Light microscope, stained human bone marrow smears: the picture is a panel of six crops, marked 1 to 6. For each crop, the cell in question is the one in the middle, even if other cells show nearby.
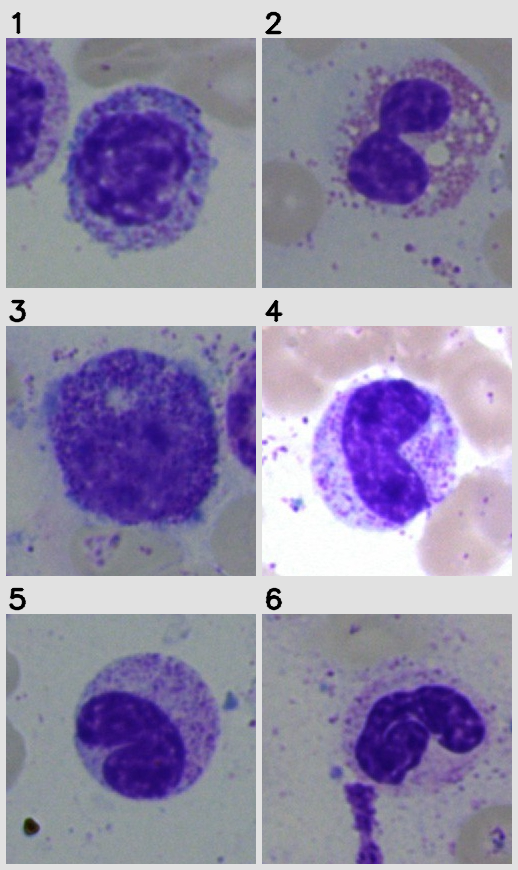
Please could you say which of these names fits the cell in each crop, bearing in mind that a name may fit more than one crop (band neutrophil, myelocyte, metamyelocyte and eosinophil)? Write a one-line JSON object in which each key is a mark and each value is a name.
{"1": "myelocyte", "2": "eosinophil", "3": "myelocyte", "4": "band neutrophil", "5": "band neutrophil", "6": "band neutrophil"}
